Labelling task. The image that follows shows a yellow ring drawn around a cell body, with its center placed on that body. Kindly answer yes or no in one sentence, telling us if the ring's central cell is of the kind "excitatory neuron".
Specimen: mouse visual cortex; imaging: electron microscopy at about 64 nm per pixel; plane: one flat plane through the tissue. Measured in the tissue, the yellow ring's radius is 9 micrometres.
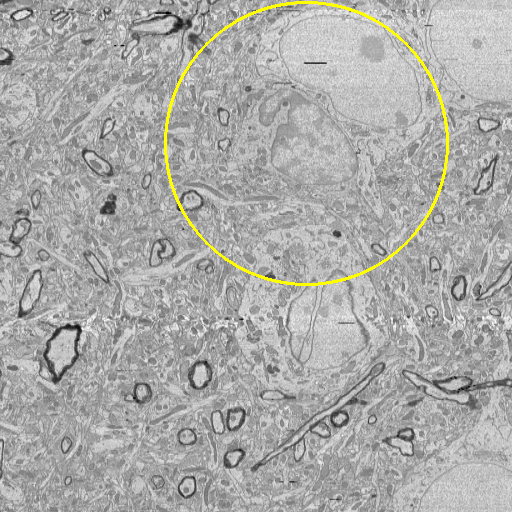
No, in this image the cell at the ring's center is of a different kind.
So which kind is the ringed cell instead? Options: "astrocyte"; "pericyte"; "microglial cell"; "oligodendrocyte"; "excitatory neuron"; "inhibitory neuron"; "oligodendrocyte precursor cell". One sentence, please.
So the cell at the centre is an oligodendrocyte.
